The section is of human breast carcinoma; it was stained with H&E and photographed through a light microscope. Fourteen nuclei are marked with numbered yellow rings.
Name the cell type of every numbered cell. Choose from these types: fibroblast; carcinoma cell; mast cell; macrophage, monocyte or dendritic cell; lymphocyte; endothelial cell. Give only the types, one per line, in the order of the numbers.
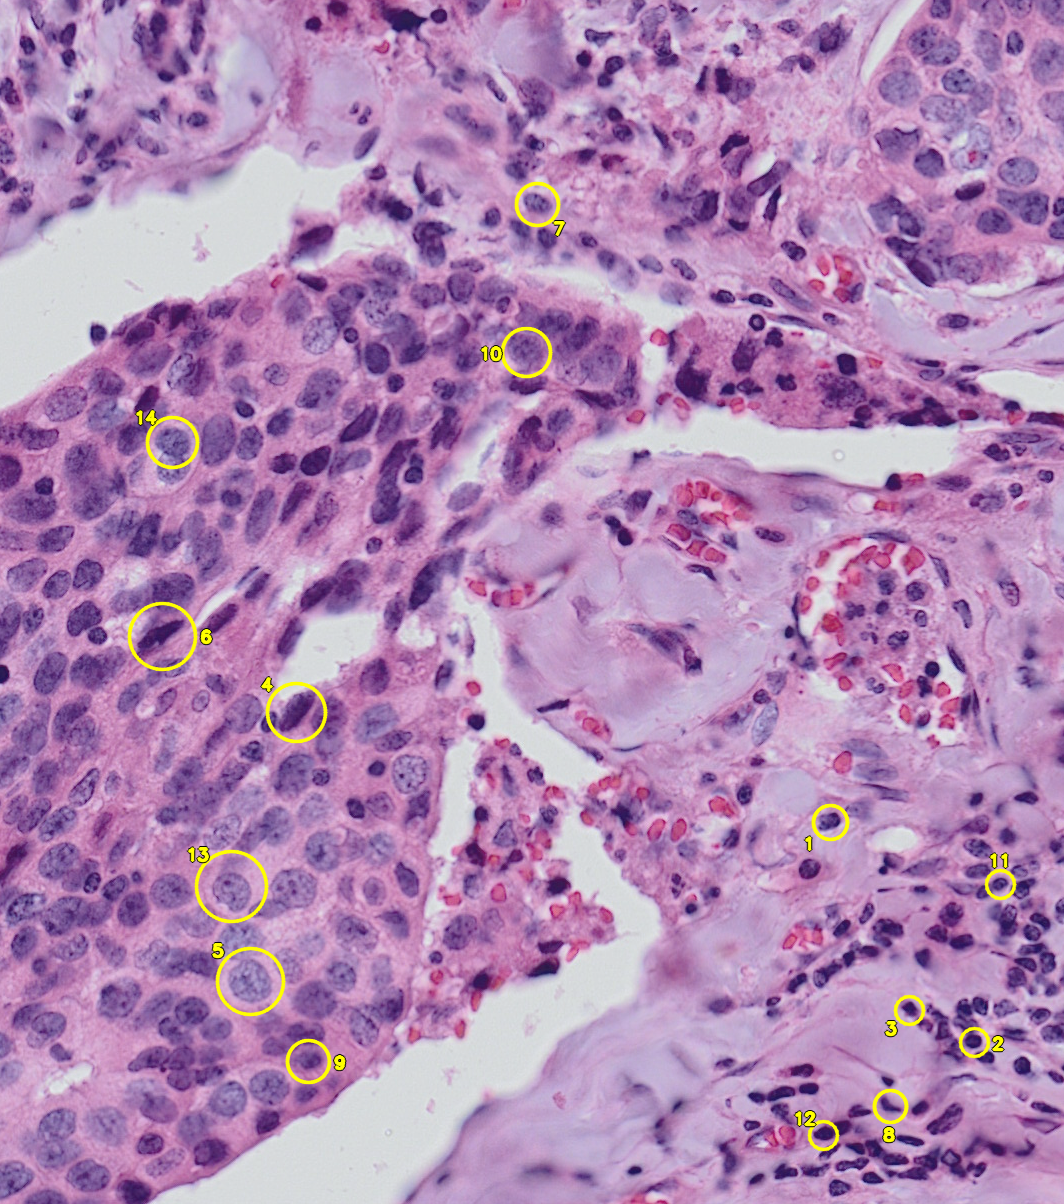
lymphocyte
lymphocyte
lymphocyte
carcinoma cell
carcinoma cell
carcinoma cell
mast cell
lymphocyte
carcinoma cell
carcinoma cell
lymphocyte
lymphocyte
carcinoma cell
carcinoma cell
